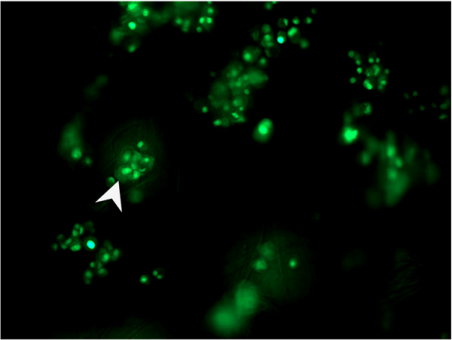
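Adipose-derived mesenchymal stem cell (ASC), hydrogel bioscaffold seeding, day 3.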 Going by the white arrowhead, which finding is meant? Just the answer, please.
clumped distribution with rounded cell morphology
